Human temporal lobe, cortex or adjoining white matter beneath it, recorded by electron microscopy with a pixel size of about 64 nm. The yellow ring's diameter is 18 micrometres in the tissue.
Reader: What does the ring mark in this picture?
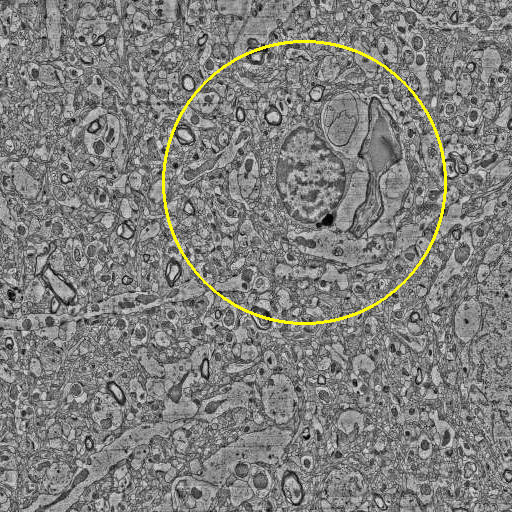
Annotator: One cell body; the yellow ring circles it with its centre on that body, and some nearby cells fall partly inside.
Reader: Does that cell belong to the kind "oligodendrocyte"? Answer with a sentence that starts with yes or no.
Yes, in this picture the ringed cell at the centre belongs to that kind.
